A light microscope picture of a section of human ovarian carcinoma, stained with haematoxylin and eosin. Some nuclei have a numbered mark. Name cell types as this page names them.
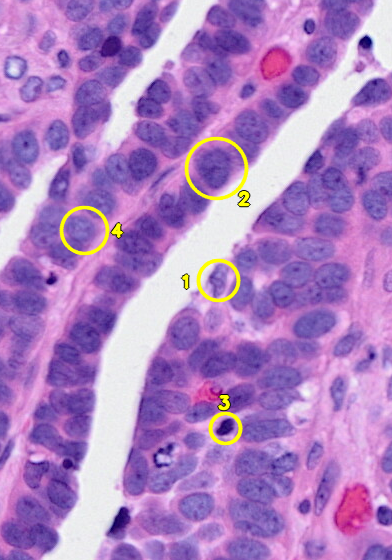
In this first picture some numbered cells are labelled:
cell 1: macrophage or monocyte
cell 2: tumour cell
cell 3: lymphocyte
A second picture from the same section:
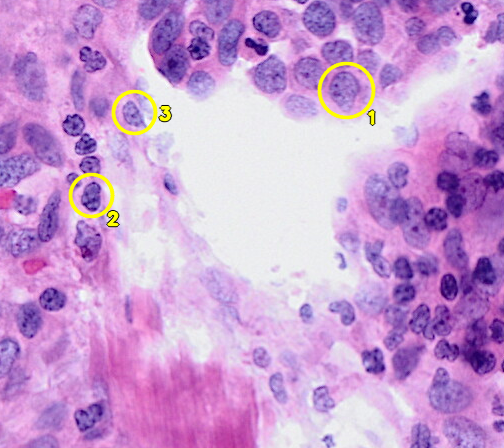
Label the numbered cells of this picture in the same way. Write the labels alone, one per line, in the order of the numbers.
tumour cell
lymphocyte
macrophage or monocyte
